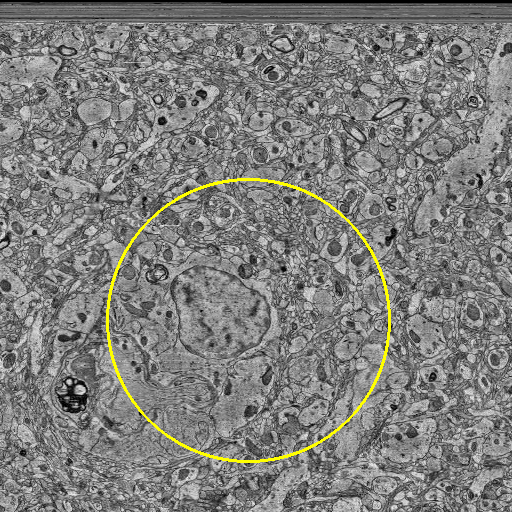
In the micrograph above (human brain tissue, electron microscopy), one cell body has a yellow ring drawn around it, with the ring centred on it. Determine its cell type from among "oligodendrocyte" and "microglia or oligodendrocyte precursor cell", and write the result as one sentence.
The cell whose body is ringed is a microglial cell or oligodendrocyte precursor cell.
